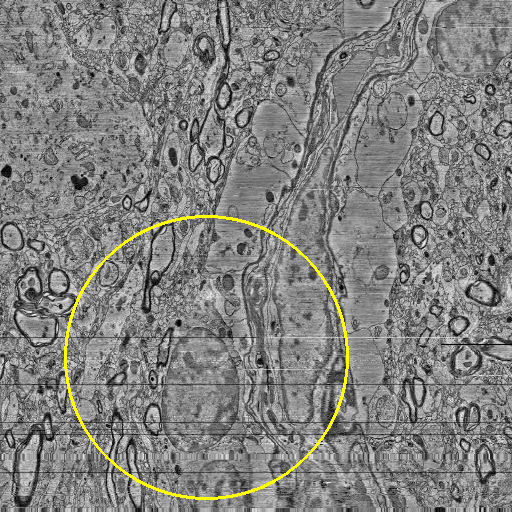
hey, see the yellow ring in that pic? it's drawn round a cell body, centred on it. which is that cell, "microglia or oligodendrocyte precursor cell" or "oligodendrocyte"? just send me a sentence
The cell in the ring is an oligodendrocyte.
